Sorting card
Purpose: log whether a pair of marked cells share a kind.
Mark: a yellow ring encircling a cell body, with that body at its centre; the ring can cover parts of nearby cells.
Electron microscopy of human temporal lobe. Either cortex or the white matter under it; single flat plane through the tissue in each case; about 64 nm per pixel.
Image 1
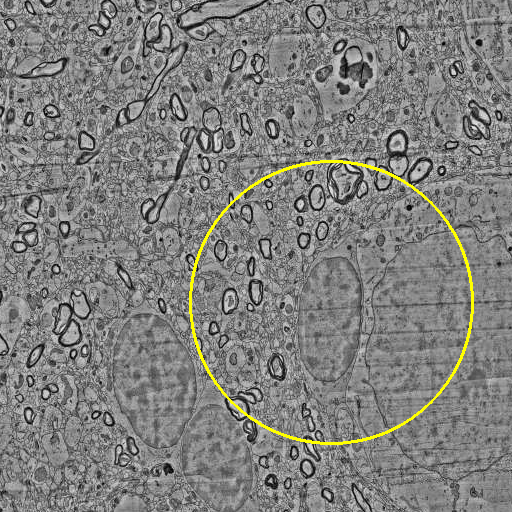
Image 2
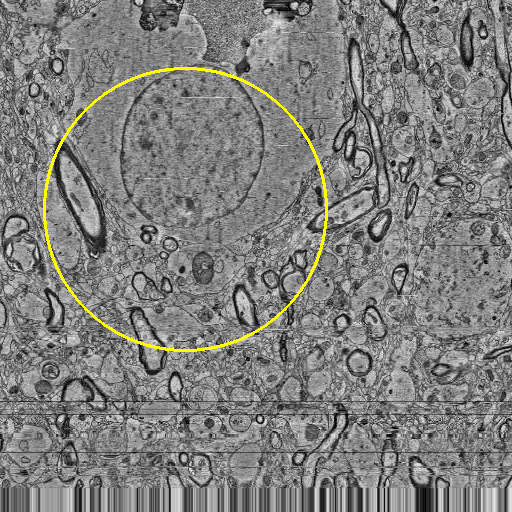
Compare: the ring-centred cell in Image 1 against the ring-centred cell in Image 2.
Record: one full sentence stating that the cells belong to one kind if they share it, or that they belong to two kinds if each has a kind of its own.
Across Images 1 and 2, the two ring-centred cells belong to two kinds.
